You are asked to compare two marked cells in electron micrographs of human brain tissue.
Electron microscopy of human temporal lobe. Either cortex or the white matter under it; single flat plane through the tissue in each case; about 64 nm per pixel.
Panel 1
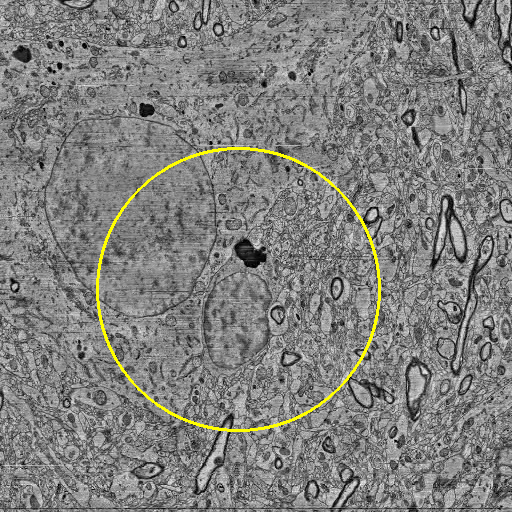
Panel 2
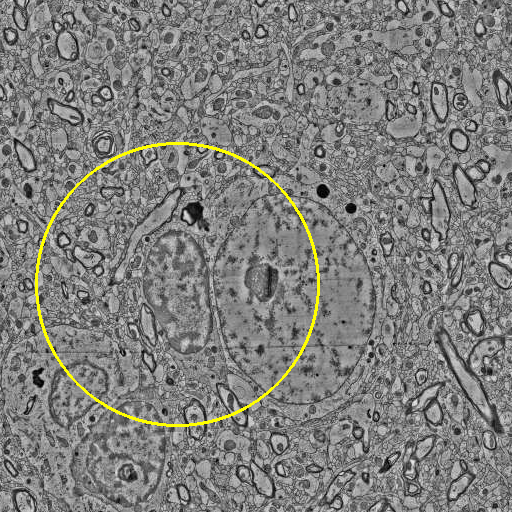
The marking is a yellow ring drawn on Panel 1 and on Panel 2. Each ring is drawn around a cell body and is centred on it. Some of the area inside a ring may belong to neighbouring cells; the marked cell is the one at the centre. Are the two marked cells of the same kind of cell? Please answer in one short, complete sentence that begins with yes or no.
Yes, the two marked cells are of the same kind.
